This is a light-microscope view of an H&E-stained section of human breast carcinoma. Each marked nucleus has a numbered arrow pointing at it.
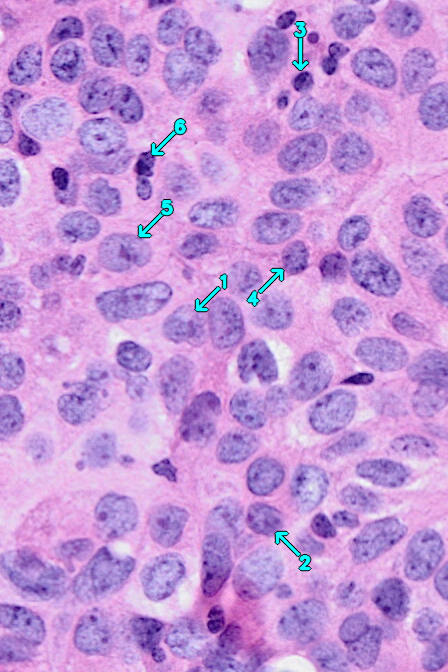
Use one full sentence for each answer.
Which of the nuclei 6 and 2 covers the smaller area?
Nucleus 6 covers less area, with nucleus 2 about 2 times as large.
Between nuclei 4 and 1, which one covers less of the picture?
With nucleus 1 about 1.5 times its size, nucleus 4 is the smaller of the two.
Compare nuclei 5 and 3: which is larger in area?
Nucleus 5 covers more area, about 4 times as much as nucleus 3.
